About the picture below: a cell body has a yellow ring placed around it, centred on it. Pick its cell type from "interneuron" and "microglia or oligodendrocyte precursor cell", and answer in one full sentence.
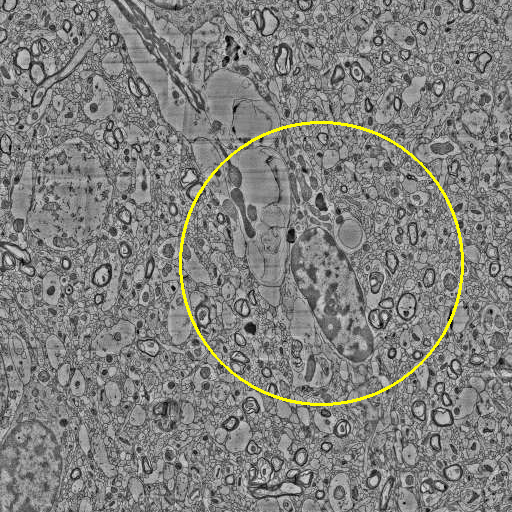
In the picture, a microglial cell or oligodendrocyte precursor cell is the cell sitting at the centre of the yellow ring.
